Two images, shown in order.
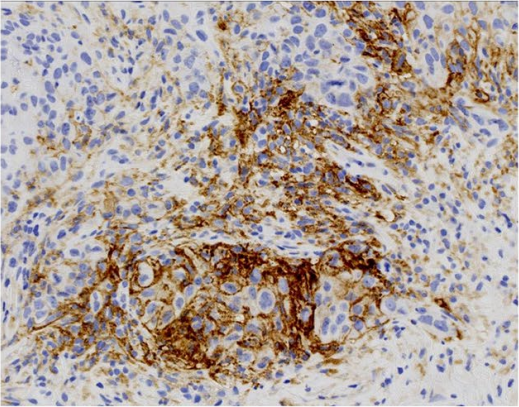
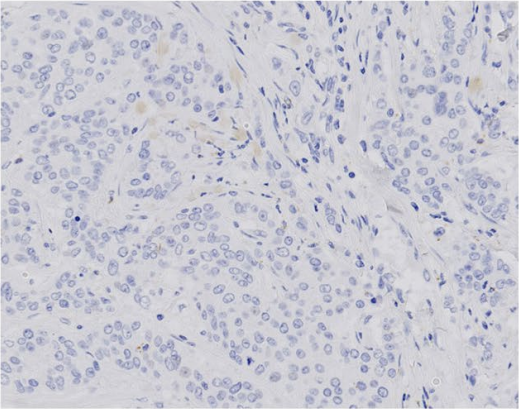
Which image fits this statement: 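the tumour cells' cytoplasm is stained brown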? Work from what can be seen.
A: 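First image: many cells have dense brown cytoplasm around blue nuclei.
Conclusion: the first image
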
